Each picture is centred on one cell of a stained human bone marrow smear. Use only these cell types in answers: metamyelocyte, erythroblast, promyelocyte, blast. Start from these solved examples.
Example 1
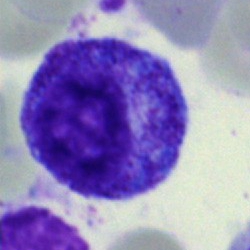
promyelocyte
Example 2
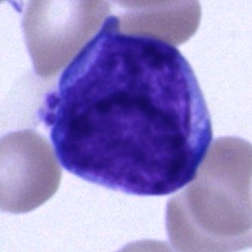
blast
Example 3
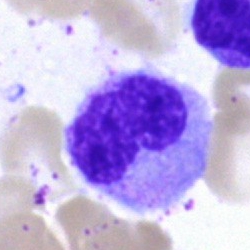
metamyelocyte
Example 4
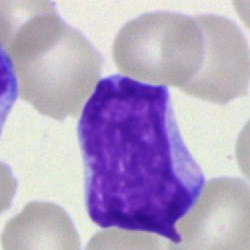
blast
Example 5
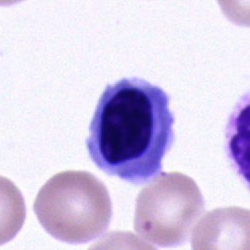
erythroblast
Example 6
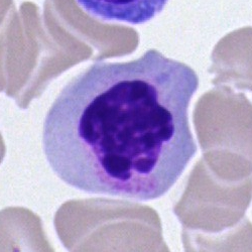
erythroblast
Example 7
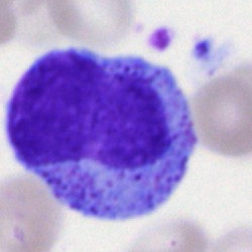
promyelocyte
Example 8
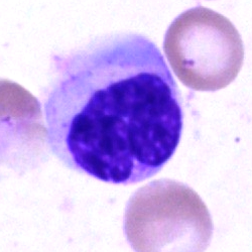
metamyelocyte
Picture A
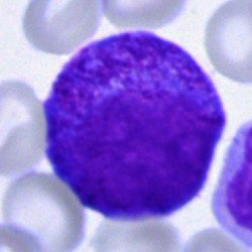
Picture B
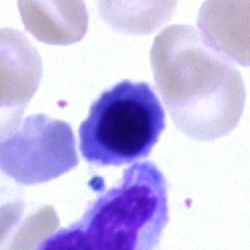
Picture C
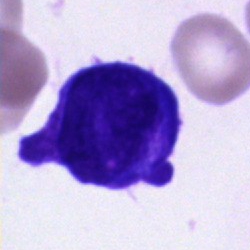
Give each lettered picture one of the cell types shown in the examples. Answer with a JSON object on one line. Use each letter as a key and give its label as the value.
{"A": "promyelocyte", "B": "erythroblast", "C": "blast"}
